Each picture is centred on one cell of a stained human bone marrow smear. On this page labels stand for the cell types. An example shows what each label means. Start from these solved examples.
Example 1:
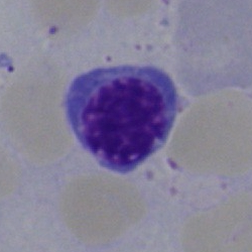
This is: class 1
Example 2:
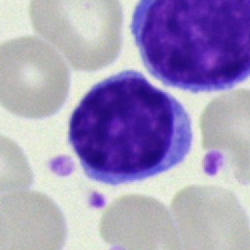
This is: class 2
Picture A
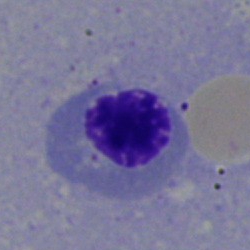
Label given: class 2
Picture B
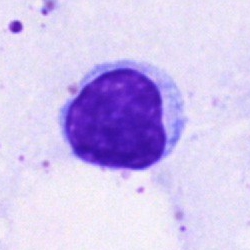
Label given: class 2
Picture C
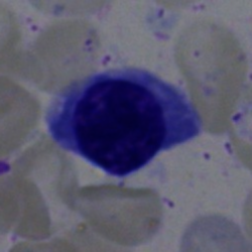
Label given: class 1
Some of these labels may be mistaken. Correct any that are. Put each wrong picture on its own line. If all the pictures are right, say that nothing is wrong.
A: not class 2 but class 1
